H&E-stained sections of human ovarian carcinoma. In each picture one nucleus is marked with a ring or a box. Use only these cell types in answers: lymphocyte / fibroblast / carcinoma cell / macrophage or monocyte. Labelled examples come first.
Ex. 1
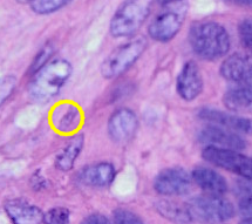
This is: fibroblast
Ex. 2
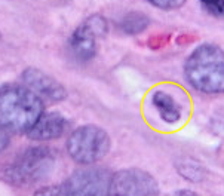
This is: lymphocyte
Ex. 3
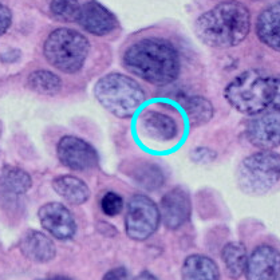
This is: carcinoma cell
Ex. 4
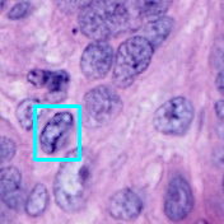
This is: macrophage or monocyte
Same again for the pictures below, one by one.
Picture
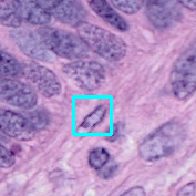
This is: fibroblast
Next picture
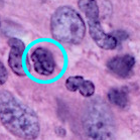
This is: lymphocyte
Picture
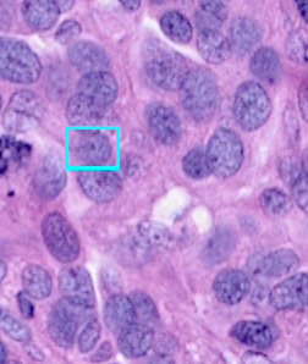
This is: carcinoma cell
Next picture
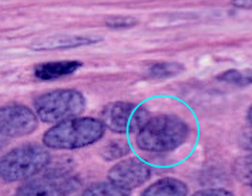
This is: carcinoma cell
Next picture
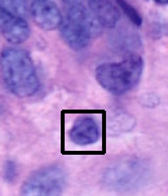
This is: lymphocyte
